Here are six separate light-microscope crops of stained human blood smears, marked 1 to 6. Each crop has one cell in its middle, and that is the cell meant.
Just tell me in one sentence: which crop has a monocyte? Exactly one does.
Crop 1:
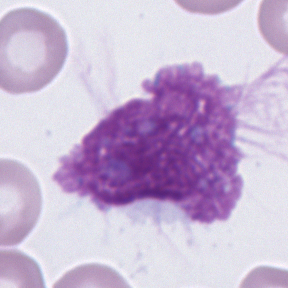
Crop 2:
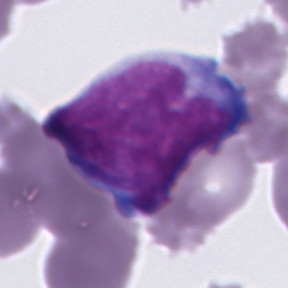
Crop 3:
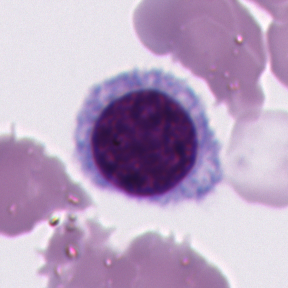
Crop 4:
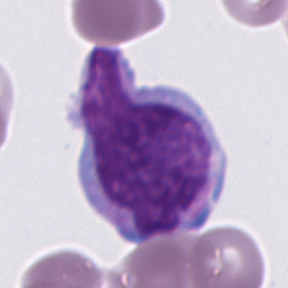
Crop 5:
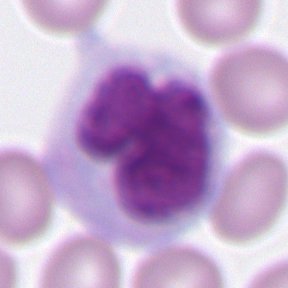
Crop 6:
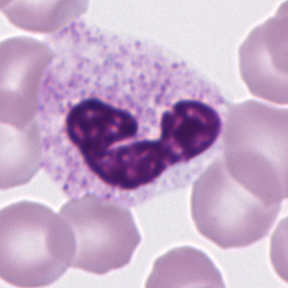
When the crops are compared, crop 5 is the one showing a monocyte.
